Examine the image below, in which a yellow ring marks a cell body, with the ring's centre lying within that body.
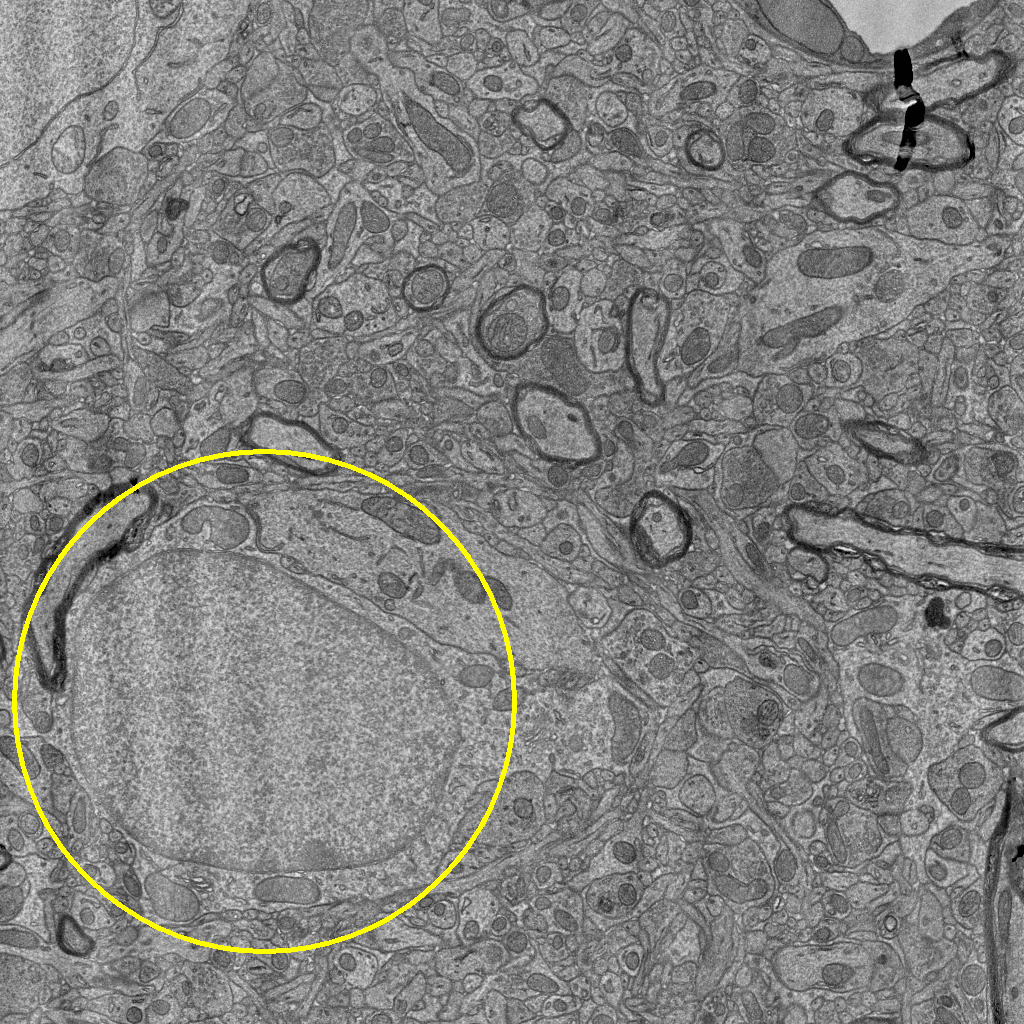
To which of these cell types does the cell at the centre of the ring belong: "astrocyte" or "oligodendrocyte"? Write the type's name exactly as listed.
astrocyte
